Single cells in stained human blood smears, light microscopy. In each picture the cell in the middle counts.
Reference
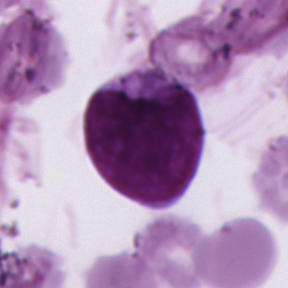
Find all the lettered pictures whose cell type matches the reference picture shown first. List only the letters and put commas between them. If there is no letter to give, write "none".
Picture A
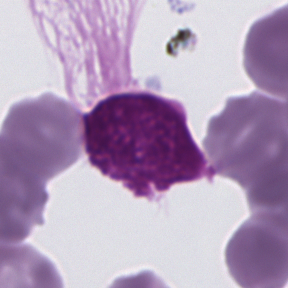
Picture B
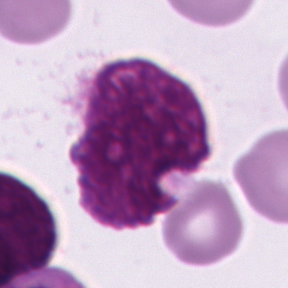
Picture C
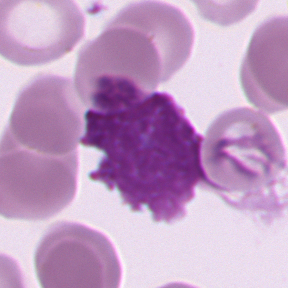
none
